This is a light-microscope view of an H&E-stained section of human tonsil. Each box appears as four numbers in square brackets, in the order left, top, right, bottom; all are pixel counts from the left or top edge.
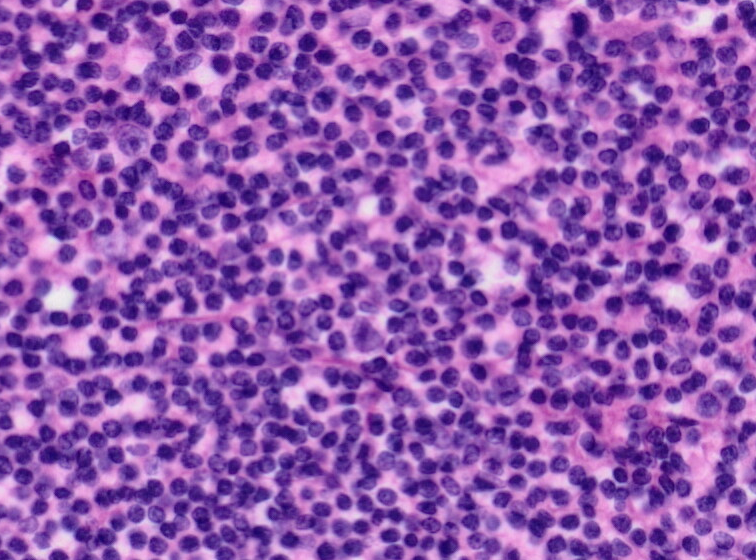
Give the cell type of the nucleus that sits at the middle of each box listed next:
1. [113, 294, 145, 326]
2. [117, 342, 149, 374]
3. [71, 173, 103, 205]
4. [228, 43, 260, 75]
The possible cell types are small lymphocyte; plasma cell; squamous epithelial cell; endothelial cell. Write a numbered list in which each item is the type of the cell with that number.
1. small lymphocyte
2. small lymphocyte
3. plasma cell
4. small lymphocyte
